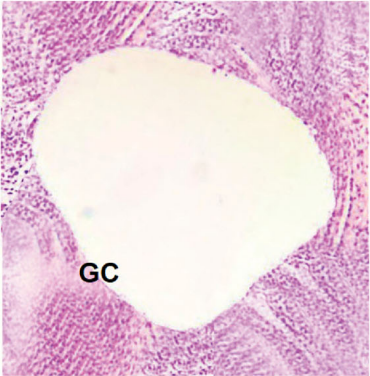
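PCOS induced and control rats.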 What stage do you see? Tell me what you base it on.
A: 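Cystic follicle. A very large, empty, clear cavity fills most of the panel. No oocyte is visible within or at the edge of the cavity.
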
